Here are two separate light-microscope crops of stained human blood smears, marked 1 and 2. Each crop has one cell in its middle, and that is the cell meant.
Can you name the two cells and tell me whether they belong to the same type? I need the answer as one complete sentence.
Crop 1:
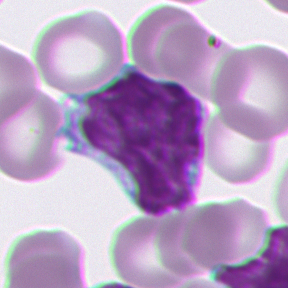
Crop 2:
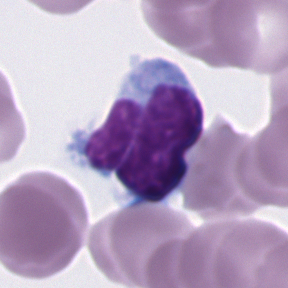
Yes, with regard to both crops, the central cells are typical lymphocytes.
